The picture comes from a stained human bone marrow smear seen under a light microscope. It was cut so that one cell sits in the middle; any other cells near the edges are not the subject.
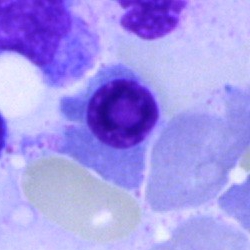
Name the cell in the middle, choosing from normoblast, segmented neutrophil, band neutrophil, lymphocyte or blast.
normoblast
